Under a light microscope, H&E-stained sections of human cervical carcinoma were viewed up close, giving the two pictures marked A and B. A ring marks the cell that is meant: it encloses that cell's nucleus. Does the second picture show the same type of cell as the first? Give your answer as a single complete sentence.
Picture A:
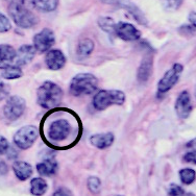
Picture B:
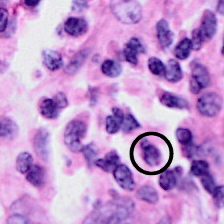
Yes, both cells are lymphocytes.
